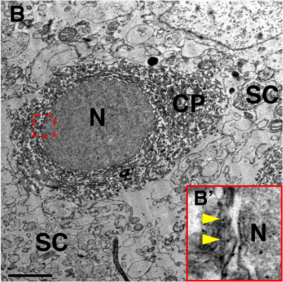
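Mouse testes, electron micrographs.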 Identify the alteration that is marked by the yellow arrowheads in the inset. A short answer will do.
ruptured nuclear membranes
